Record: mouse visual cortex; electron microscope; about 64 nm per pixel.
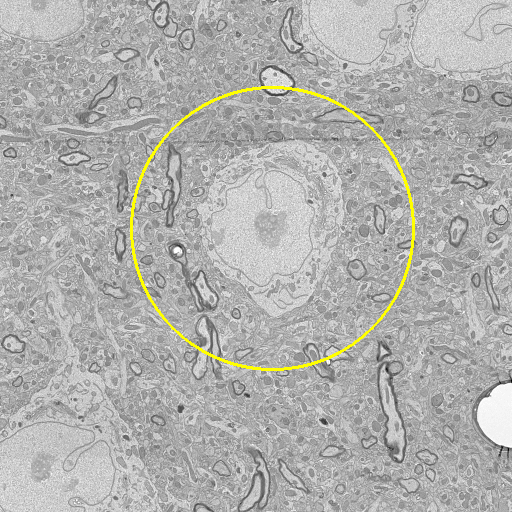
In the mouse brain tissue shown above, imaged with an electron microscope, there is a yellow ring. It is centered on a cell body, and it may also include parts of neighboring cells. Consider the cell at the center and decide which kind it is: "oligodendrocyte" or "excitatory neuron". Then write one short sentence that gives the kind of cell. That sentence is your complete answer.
This centered cell body is that of an excitatory neuron.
